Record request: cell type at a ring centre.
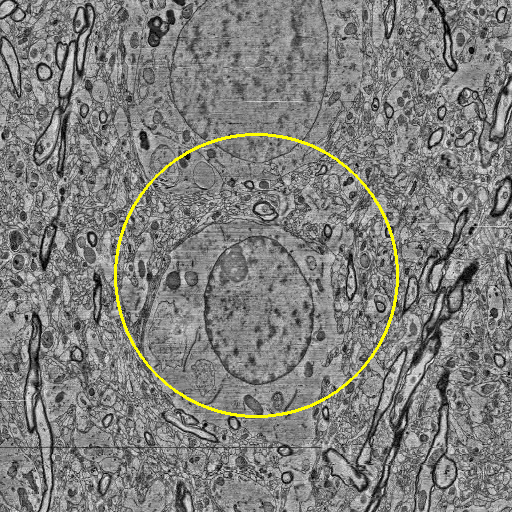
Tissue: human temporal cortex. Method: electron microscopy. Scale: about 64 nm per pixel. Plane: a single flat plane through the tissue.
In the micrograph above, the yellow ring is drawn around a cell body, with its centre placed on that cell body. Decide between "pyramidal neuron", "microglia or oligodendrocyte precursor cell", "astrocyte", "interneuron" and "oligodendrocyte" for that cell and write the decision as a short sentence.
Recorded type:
The cell centred in the yellow ring is an astrocyte.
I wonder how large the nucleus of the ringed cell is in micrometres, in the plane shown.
About 10 by 7 micrometers, in this plane.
